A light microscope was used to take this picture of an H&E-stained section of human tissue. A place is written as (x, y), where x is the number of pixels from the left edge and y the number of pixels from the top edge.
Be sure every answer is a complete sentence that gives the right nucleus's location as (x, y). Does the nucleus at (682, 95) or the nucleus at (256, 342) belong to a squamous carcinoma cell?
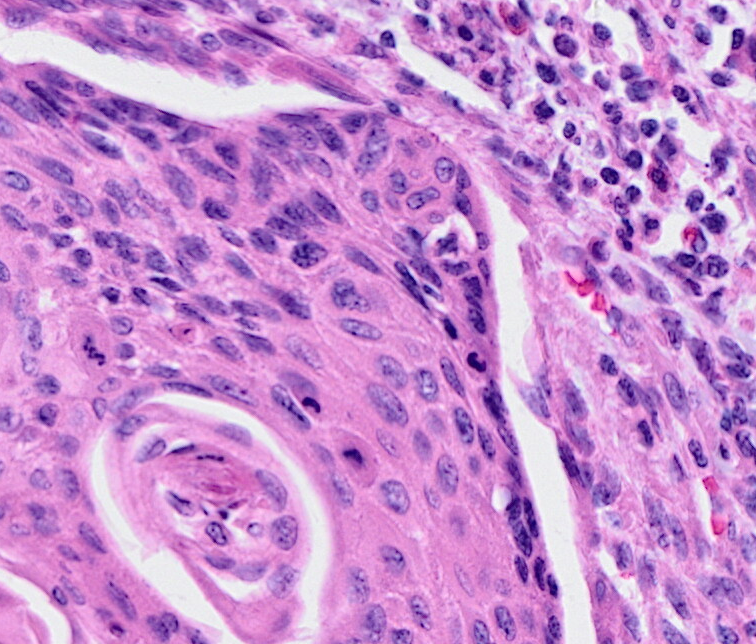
The nucleus lying at (256, 342) is the nucleus of a squamous carcinoma cell.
